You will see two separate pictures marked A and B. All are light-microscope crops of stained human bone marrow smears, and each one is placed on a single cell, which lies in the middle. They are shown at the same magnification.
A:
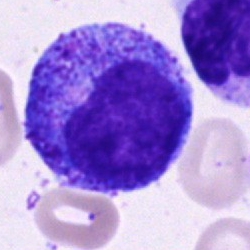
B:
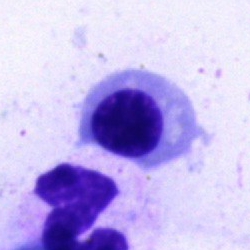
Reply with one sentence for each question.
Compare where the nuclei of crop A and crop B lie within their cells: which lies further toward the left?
Seen within its cell, the nucleus in crop B lies further toward the left.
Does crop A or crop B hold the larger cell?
It is the cell in crop A, about 2.5 times as large in area as the cell in crop B.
